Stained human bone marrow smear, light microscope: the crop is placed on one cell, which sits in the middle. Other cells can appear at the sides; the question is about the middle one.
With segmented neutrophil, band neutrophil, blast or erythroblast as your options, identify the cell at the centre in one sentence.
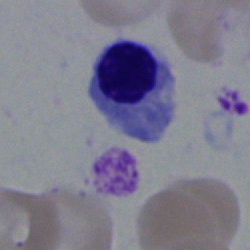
In the central position of this crop, the cell is an erythroblast.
